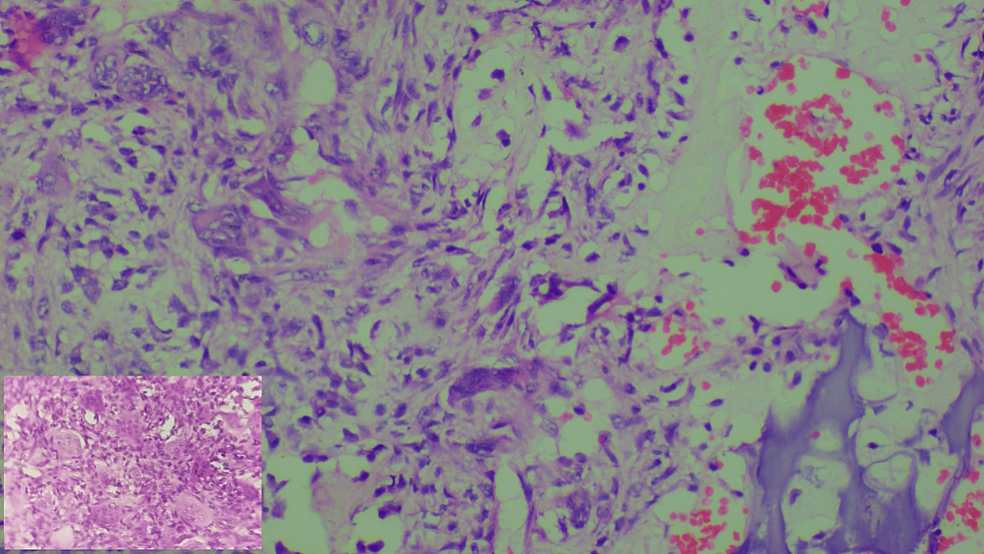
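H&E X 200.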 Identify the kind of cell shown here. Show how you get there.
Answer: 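Several large cells each hold many clustered nuclei. These large cells have abundant pink cytoplasm. They lie scattered among smaller mononuclear cells. That points to this answer: multinucleated osteoclast-like giant cells.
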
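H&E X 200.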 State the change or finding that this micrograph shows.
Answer: Giant cell-rich tumour.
